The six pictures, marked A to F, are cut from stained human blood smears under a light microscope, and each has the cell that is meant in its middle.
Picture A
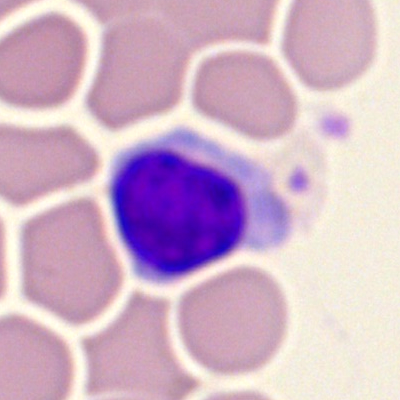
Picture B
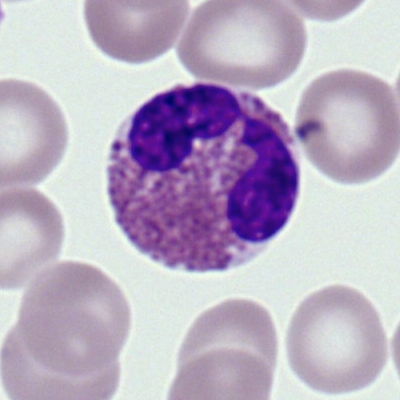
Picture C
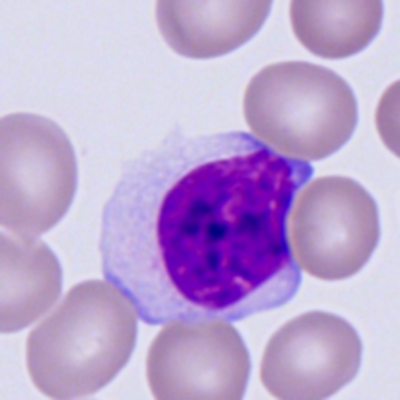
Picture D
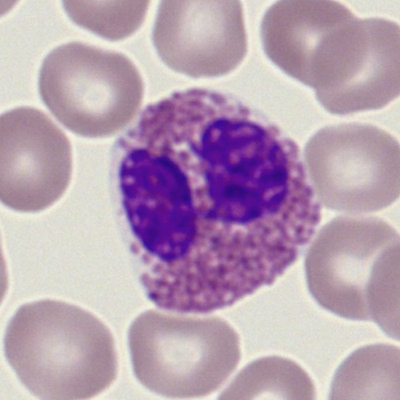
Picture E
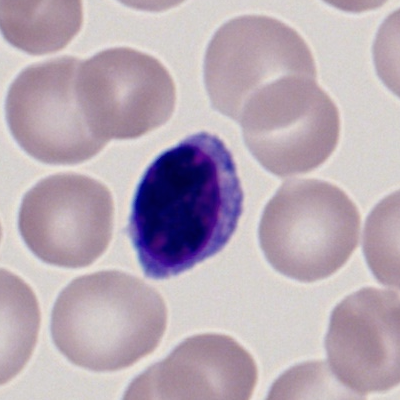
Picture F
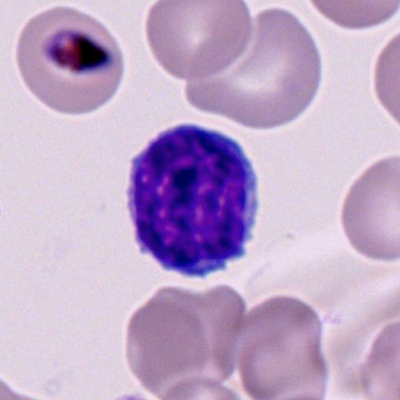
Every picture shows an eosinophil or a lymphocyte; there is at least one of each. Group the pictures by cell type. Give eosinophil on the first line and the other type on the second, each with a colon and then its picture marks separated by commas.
eosinophil: B, D
lymphocyte: A, C, E, F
